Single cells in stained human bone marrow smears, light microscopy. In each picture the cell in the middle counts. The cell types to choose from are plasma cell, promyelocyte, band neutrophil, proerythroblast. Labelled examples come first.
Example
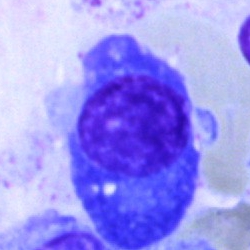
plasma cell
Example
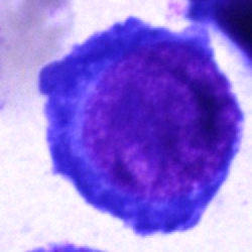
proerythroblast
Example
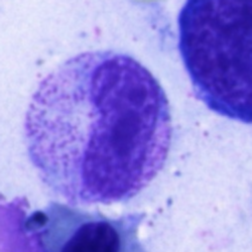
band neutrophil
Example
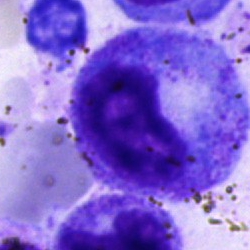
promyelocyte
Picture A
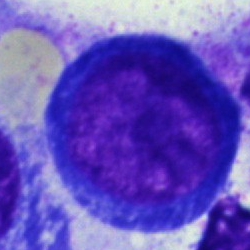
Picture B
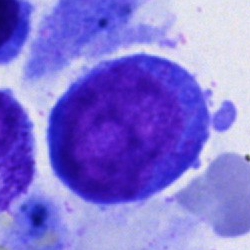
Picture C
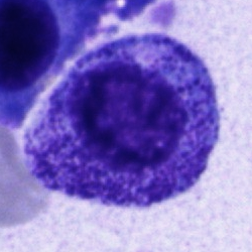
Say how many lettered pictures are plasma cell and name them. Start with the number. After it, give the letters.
0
